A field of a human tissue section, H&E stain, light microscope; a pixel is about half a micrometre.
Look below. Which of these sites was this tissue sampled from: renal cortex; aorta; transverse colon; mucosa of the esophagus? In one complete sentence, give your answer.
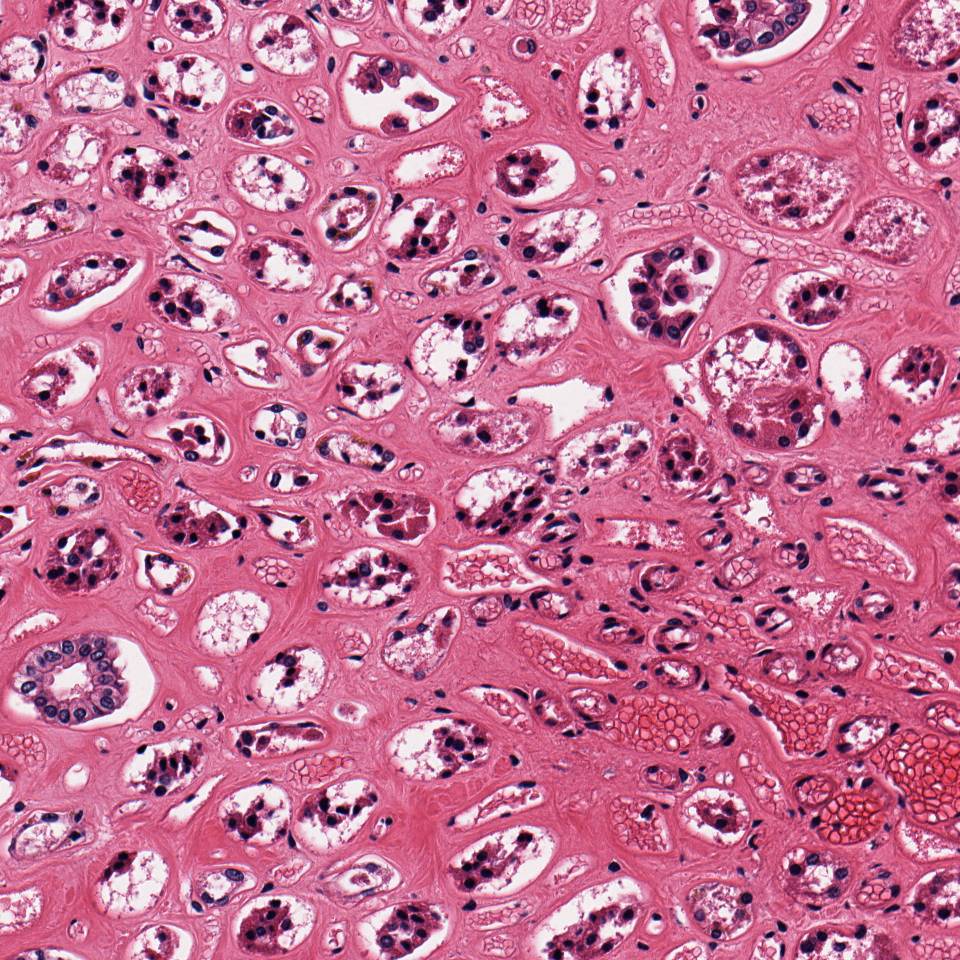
The source of this tissue sample is the renal cortex.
